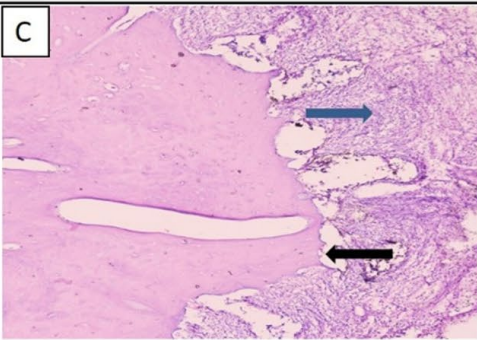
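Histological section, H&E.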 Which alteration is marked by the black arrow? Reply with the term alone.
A: Active resorption.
